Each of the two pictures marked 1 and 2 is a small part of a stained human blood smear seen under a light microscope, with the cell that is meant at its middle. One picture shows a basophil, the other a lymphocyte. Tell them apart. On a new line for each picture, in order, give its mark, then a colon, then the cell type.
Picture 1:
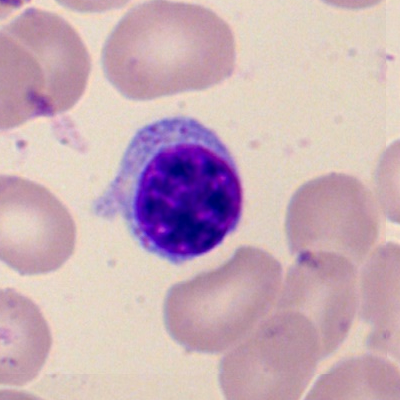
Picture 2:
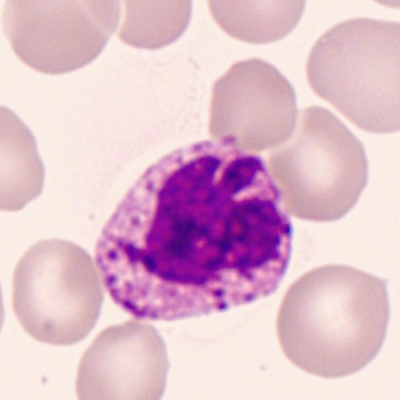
1: lymphocyte
2: basophil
